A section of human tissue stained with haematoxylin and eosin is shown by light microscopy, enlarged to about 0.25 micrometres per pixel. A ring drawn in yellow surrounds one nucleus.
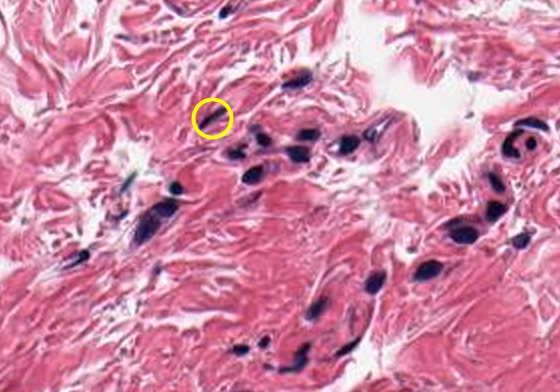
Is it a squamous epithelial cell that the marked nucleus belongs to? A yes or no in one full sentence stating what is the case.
No, a squamous epithelial cell is not the cell of the marked nucleus; a supporting cell is.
